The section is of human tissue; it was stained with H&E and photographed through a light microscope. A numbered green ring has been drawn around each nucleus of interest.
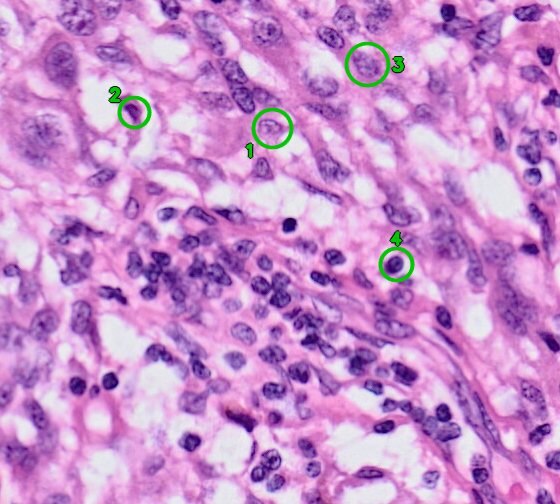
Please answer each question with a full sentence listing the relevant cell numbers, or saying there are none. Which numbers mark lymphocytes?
Cell 4 is a lymphocyte, which is true of none of the other numbered cells.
